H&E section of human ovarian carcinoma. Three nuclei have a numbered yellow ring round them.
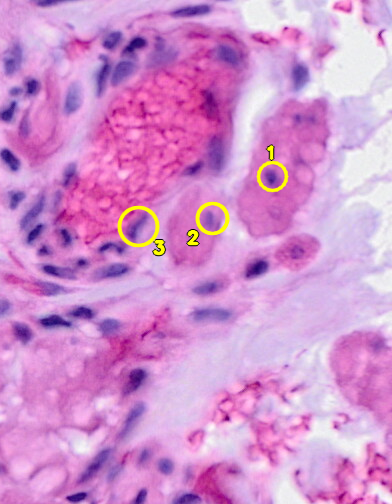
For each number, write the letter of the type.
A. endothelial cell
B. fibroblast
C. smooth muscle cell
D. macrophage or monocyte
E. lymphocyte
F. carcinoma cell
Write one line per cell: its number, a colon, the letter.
1: C
2: C
3: A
